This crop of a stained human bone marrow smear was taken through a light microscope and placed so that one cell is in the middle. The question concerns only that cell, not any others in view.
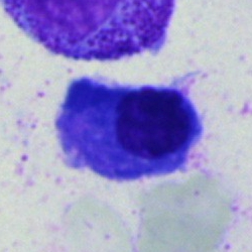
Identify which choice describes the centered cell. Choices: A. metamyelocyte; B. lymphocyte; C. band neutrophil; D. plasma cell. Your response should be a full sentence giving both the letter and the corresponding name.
Option D stands as correct, the central cell being a plasma cell.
